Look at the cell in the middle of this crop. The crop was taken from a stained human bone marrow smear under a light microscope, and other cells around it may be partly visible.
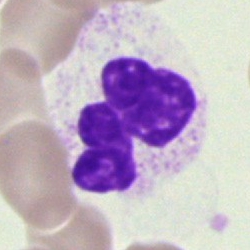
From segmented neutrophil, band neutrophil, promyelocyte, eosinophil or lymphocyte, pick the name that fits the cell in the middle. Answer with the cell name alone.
segmented neutrophil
